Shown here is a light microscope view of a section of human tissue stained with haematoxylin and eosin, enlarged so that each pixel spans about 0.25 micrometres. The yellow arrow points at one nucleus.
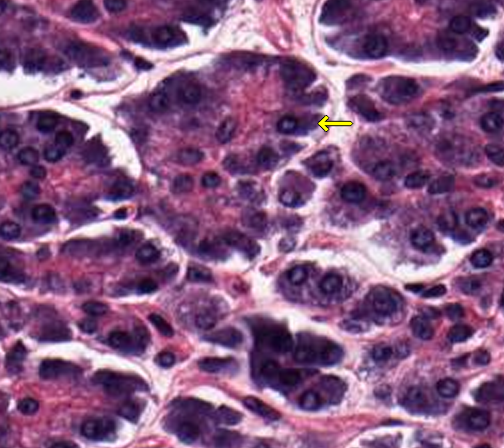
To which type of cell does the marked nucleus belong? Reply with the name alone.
pancreatic acinar cell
